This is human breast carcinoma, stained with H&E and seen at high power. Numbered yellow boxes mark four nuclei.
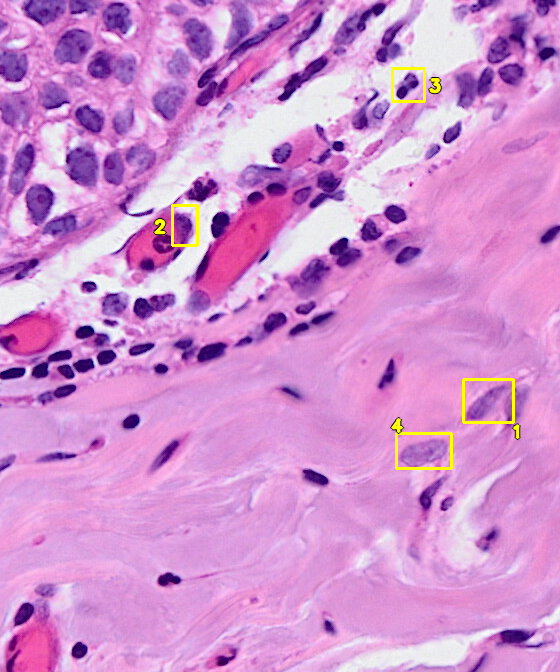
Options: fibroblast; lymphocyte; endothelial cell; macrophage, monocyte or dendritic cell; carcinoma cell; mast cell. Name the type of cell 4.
fibroblast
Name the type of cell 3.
lymphocyte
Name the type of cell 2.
endothelial cell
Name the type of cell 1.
fibroblast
